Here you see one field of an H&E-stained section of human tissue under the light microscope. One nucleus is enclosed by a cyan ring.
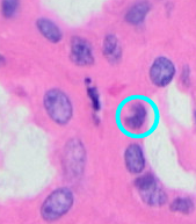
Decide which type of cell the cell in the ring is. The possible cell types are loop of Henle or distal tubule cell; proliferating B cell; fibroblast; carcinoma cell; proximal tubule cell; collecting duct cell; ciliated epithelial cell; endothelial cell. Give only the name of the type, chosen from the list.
loop of Henle or distal tubule cell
